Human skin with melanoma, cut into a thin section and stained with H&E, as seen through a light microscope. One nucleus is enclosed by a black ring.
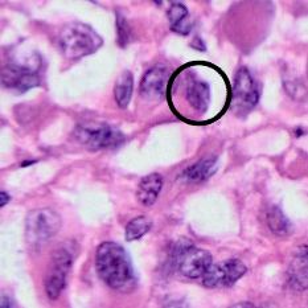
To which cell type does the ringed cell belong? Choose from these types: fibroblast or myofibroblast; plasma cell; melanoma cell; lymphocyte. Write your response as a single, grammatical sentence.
In cell-type terms, the ringed cell is a melanoma cell.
